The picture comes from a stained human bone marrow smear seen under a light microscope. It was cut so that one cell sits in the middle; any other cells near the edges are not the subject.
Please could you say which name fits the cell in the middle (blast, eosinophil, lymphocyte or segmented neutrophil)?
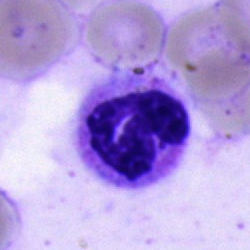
segmented neutrophil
